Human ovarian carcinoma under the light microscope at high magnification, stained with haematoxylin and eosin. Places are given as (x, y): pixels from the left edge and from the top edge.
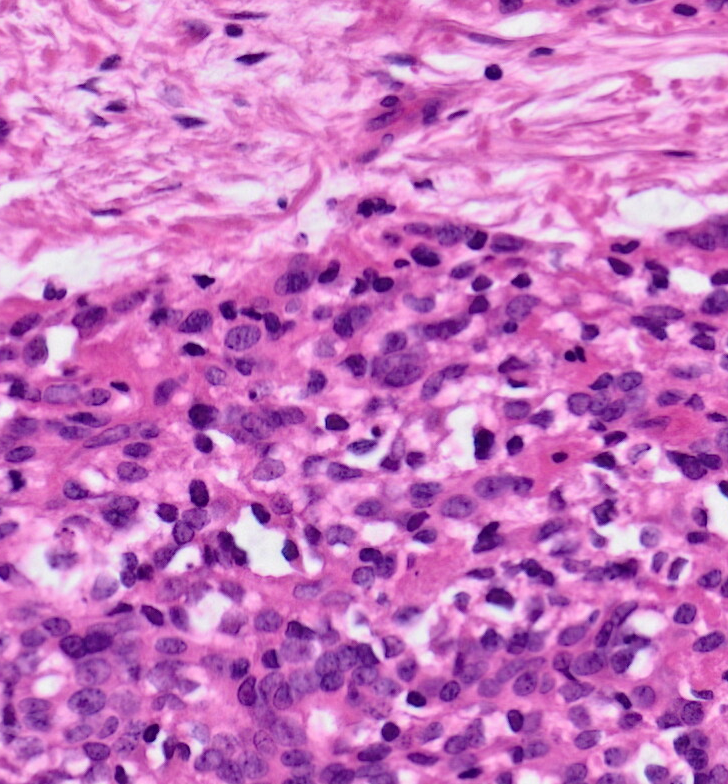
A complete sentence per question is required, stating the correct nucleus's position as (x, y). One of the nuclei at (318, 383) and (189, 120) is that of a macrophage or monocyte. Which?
The nucleus of a macrophage or monocyte is the one found at (318, 383), not the other.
